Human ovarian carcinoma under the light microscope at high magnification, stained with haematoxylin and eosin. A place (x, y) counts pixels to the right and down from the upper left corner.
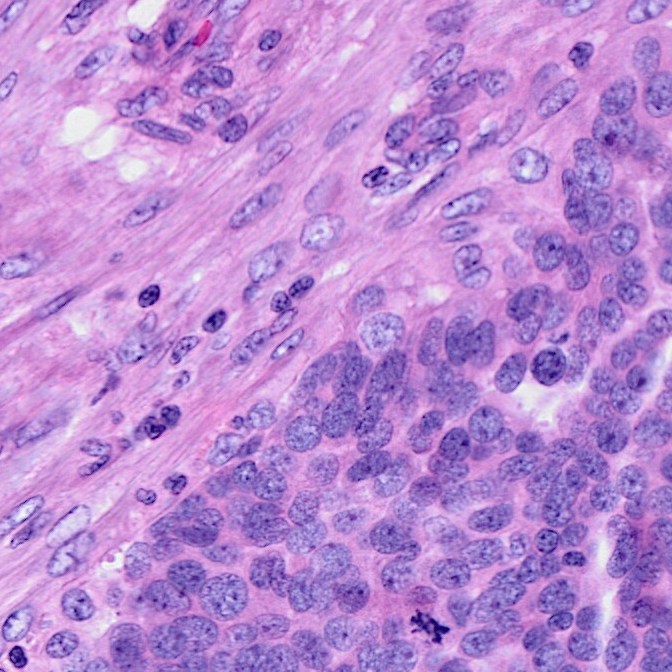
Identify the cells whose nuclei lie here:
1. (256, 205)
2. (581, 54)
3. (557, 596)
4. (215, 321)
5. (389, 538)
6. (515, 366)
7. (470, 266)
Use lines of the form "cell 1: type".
cell 1: fibroblast
cell 2: lymphocyte
cell 3: carcinoma cell
cell 4: lymphocyte
cell 5: carcinoma cell
cell 6: carcinoma cell
cell 7: fibroblast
